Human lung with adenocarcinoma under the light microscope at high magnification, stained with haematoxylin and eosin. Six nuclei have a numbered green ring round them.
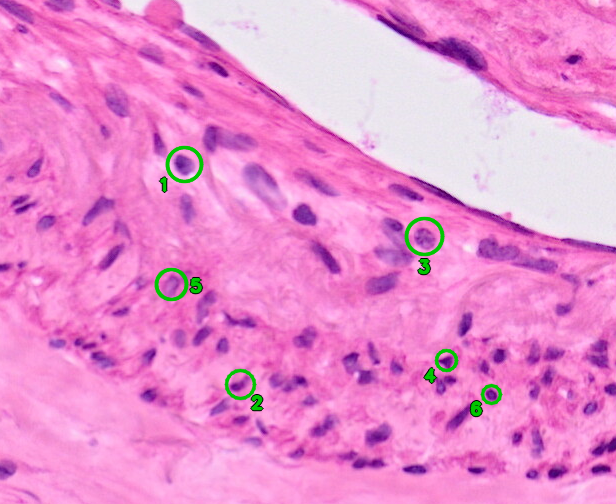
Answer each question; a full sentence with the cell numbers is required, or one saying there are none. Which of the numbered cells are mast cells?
Only the cell with the number 3 is a mast cell.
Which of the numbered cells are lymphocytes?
The one cell that is a lymphocyte is cell 1, and no other.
